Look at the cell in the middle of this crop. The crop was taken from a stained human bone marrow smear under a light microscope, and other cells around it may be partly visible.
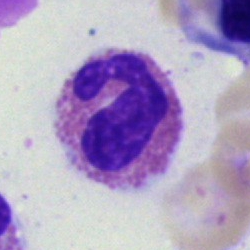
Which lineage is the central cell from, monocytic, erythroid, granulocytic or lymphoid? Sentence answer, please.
To the granulocytic lineage belongs the cell in the middle of the crop.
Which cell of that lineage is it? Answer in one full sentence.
The target cell in the middle of the crop is an eosinophil.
